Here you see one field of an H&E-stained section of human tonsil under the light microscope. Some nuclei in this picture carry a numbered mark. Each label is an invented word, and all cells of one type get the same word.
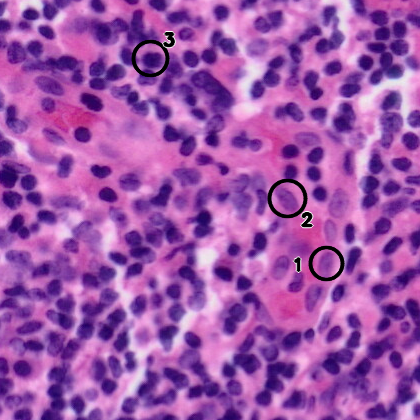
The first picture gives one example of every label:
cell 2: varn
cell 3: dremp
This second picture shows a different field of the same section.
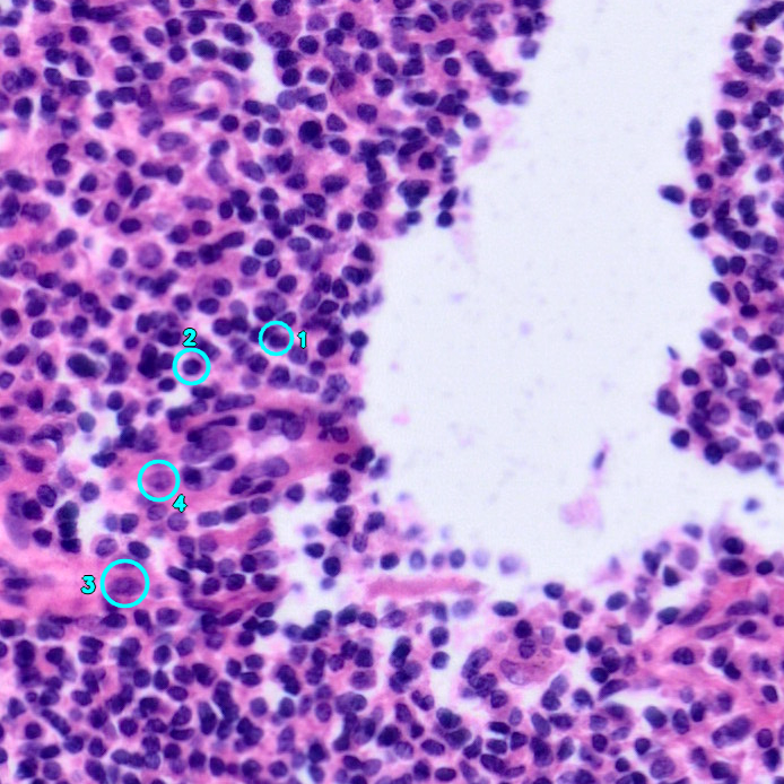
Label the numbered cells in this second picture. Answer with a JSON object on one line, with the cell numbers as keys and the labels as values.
{"1": "dremp", "2": "dremp", "3": "varn", "4": "varn"}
